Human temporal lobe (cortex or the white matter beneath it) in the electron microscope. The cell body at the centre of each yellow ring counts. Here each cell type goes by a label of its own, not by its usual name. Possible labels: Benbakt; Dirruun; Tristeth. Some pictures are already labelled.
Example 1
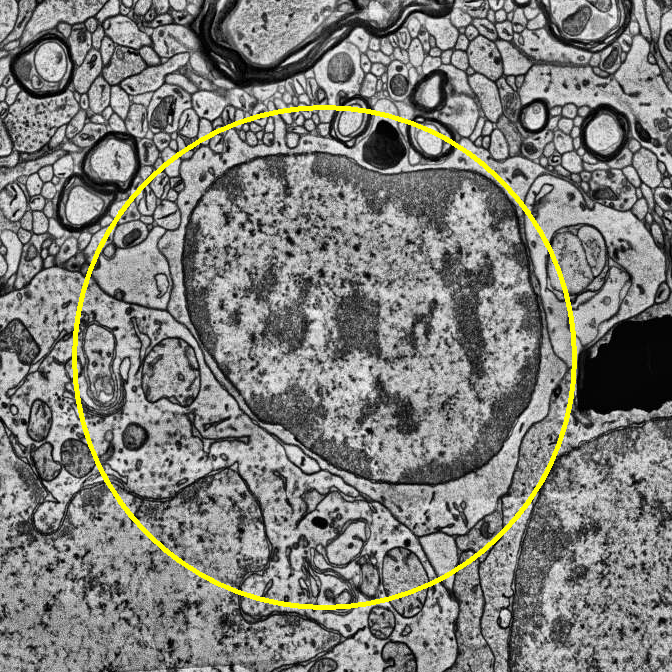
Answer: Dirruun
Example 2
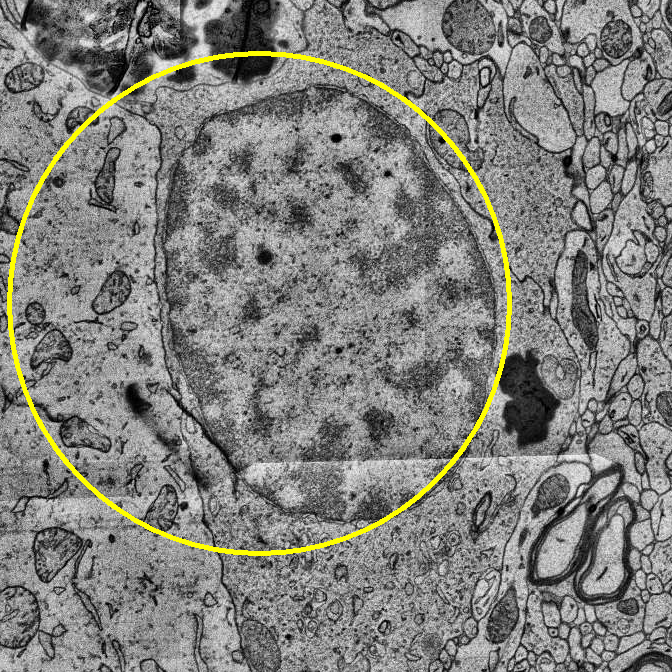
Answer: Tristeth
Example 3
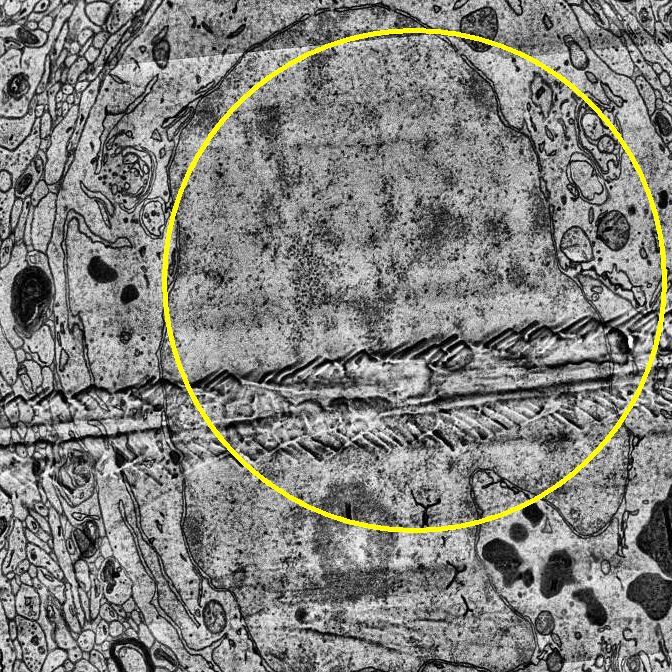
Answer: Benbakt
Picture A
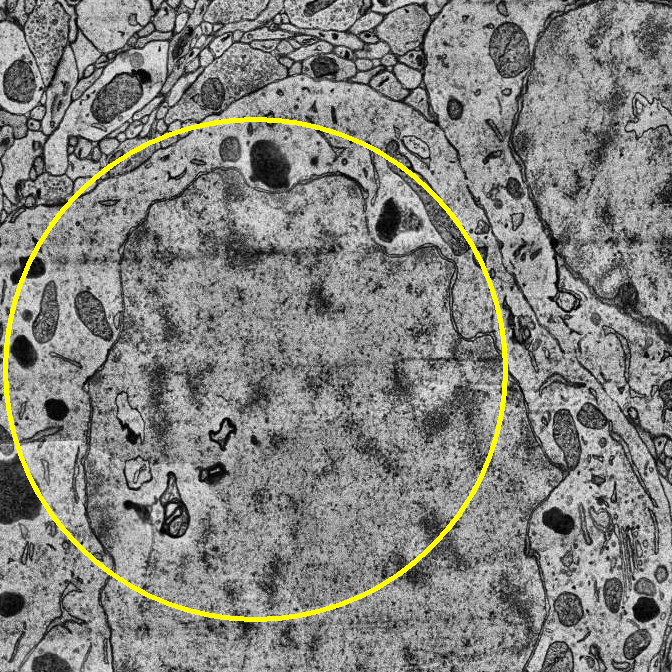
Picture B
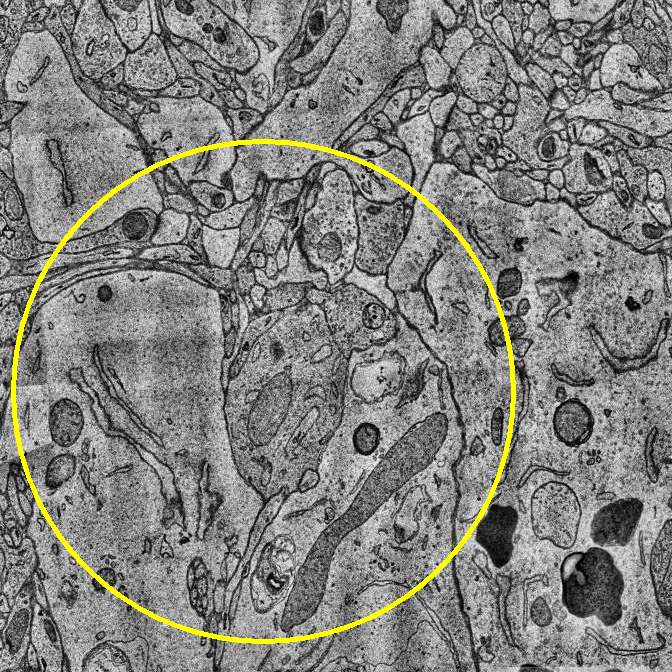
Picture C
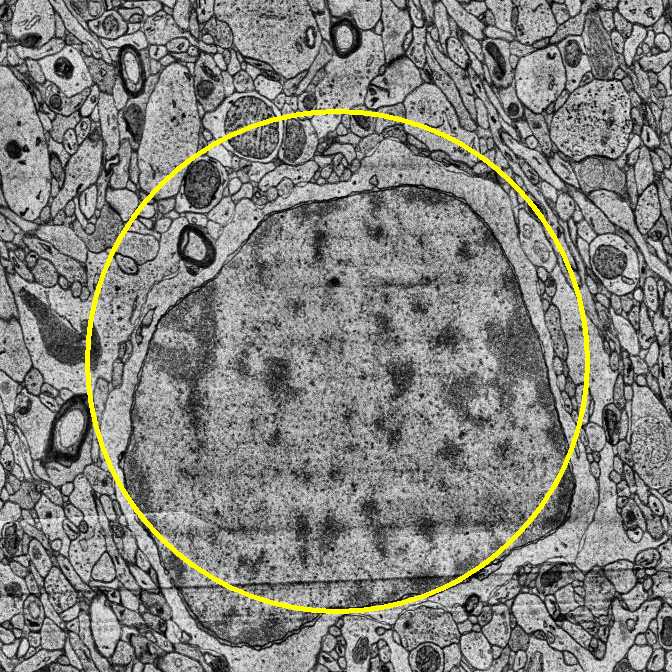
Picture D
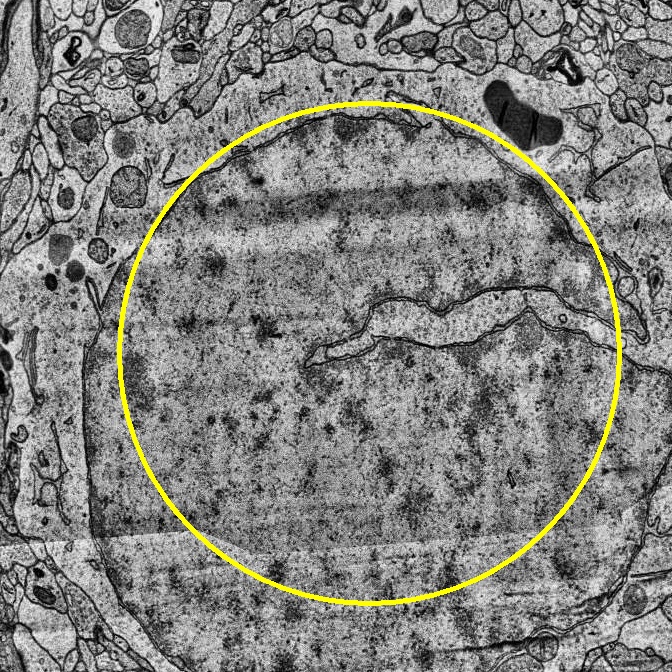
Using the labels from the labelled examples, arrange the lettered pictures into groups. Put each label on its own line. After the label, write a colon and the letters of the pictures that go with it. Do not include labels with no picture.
Benbakt: A, D
Dirruun: C
Tristeth: B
